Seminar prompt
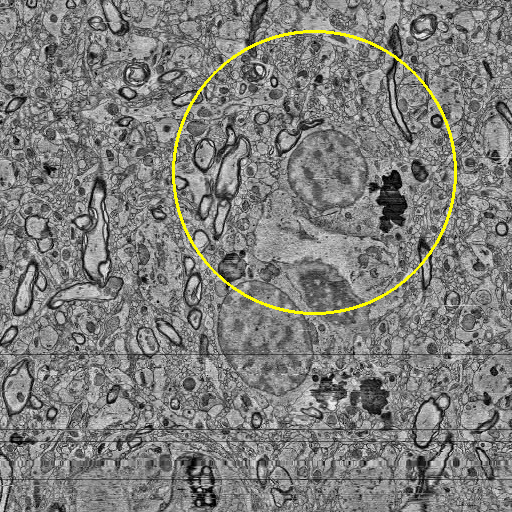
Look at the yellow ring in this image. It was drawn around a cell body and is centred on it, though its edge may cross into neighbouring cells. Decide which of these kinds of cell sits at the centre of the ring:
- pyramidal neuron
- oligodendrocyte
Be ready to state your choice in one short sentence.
The kind of cell at the ring's centre is an oligodendrocyte.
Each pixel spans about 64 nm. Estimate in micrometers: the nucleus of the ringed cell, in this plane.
About 5 micrometres across in this plane.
